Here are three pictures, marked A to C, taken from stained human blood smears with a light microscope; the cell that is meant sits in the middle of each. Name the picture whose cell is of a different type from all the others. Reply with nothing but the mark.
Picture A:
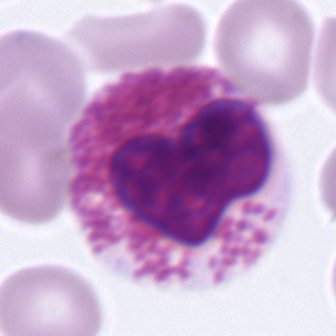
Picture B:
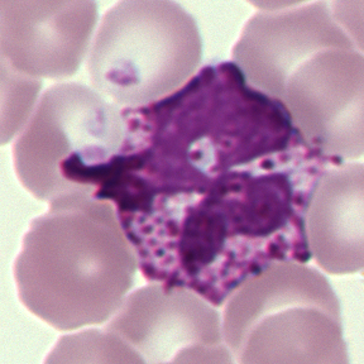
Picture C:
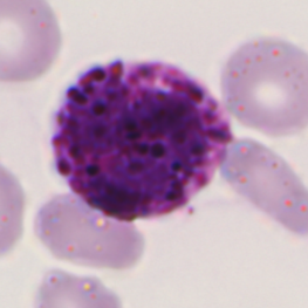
A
